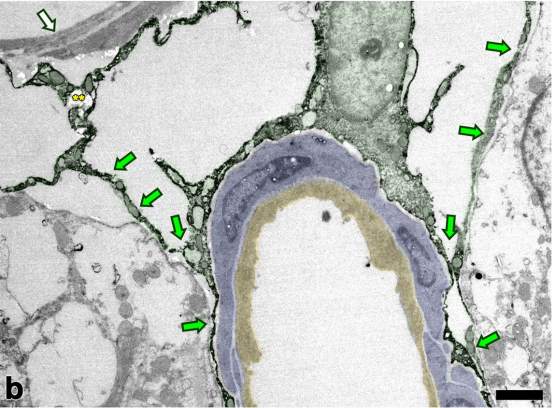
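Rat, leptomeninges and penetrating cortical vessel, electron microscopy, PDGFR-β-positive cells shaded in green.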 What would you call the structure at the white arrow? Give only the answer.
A: Arachnoid mater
